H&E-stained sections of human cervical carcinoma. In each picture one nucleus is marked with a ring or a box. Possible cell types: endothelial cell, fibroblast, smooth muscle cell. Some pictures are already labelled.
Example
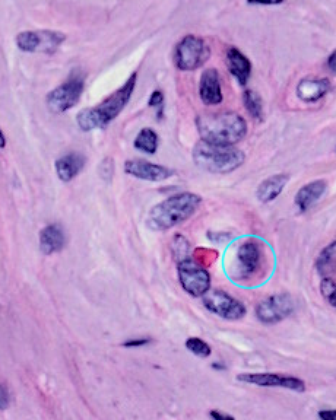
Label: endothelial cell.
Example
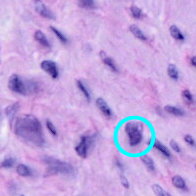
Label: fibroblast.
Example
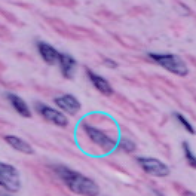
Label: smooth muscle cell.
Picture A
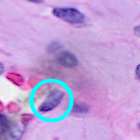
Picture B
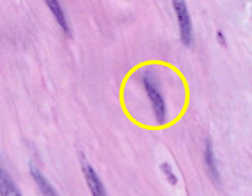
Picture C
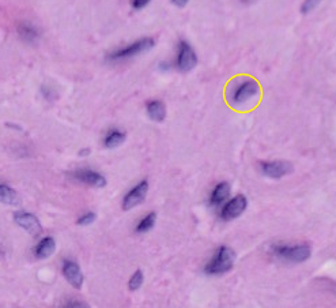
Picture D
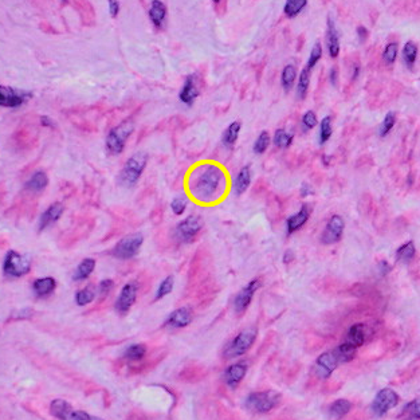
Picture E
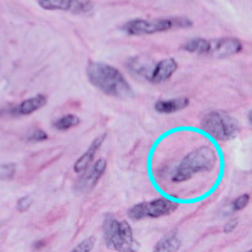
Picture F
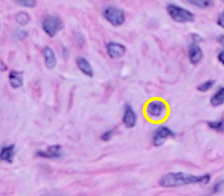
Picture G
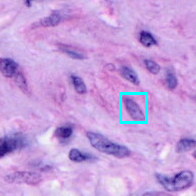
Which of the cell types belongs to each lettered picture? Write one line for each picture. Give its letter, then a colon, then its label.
A: endothelial cell.
B: fibroblast.
C: fibroblast.
D: smooth muscle cell.
E: smooth muscle cell.
F: smooth muscle cell.
G: smooth muscle cell.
